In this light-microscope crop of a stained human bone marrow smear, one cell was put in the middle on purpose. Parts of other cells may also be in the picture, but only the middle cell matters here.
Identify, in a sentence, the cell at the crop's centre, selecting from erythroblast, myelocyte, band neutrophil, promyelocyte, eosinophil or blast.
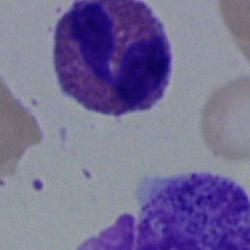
In the center of this field lies an eosinophil.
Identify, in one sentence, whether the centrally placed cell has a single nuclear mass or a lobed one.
The nucleus is segmented, with two or more lobes present.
